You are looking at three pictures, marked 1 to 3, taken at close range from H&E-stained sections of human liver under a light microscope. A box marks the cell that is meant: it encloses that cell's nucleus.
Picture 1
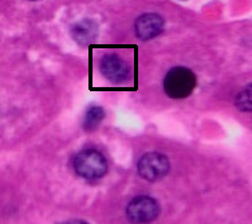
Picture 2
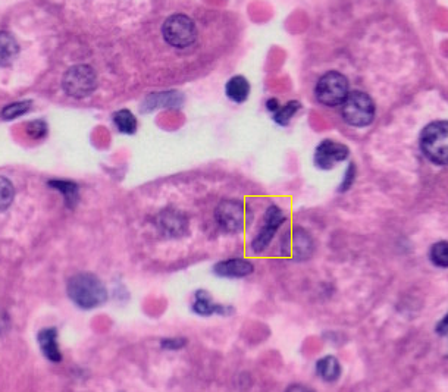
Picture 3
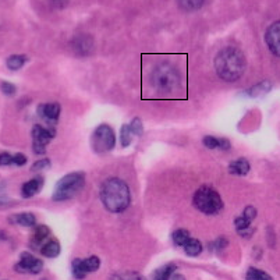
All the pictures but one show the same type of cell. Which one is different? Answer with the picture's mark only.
3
